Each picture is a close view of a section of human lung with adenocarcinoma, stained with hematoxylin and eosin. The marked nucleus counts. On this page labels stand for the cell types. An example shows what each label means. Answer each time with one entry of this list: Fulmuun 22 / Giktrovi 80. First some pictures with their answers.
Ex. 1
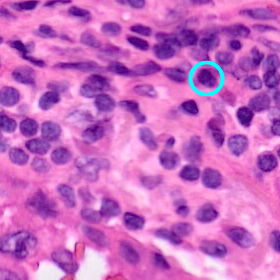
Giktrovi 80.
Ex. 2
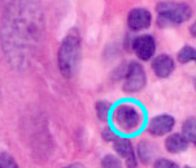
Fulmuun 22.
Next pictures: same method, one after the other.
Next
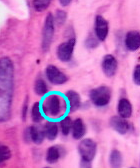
Fulmuun 22.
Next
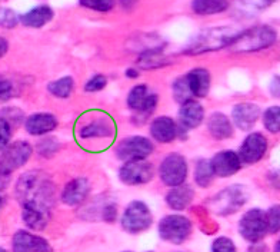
Fulmuun 22.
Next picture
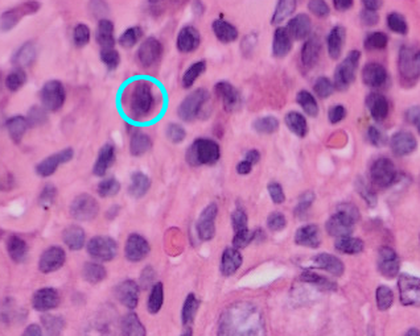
Giktrovi 80.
